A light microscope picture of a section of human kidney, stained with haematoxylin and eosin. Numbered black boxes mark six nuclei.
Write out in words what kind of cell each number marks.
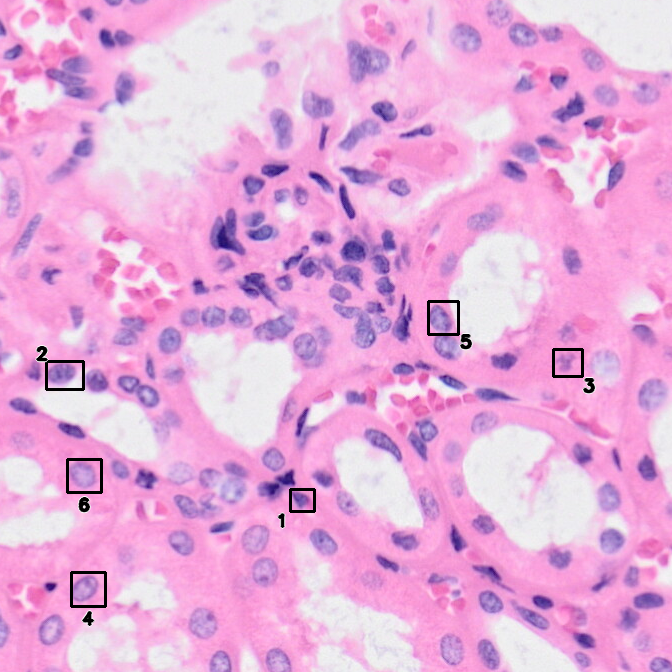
Cell 1 is an endothelial cell, cell 2 is a collecting duct cell, cell 3 is a loop of Henle or distal tubule cell, cell 4 is a proximal tubule cell, cell 5 is a loop of Henle or distal tubule cell and cell 6 is a proximal tubule cell.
